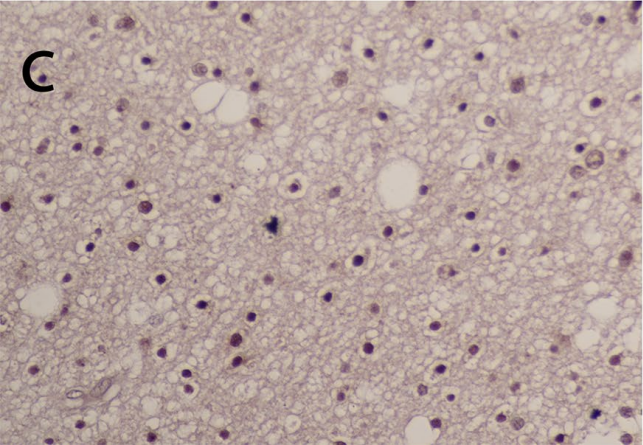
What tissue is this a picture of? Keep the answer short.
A: oligodendroglioma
